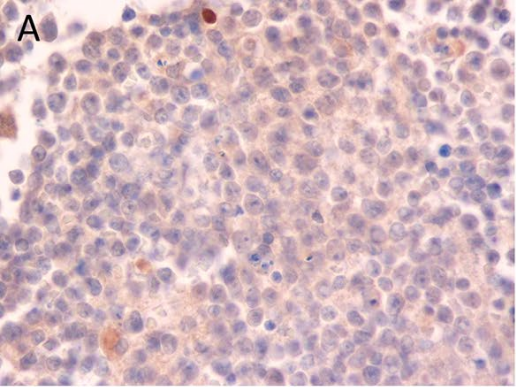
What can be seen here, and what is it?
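This is a tumor made of densely packed, fairly uniform round tumor cells with little stroma between them. Each cell has a round nucleus with blue counterstain and a rim of light brown-stained cytoplasm, and a few scattered cells stain more darkly brown.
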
